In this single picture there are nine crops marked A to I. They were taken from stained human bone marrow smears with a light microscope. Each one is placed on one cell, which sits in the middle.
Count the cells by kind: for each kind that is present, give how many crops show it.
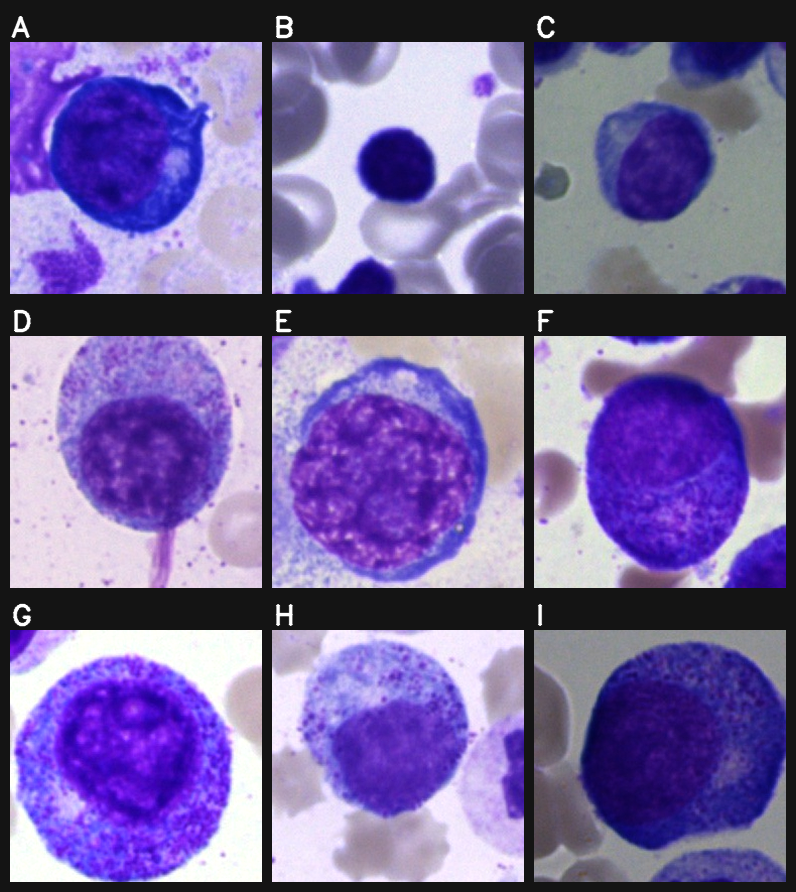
promyelocyte: 5
proerythroblast: 2
lymphocyte: 2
